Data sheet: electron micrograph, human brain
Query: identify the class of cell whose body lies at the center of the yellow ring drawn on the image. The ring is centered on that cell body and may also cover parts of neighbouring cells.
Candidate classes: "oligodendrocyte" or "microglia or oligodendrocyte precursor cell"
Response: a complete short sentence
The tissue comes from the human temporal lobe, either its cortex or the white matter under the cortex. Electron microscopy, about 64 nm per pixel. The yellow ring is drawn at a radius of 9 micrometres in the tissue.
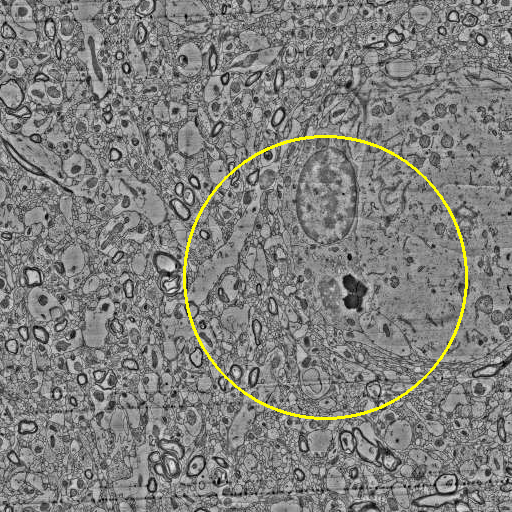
At the center of the ring lies an oligodendrocyte.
